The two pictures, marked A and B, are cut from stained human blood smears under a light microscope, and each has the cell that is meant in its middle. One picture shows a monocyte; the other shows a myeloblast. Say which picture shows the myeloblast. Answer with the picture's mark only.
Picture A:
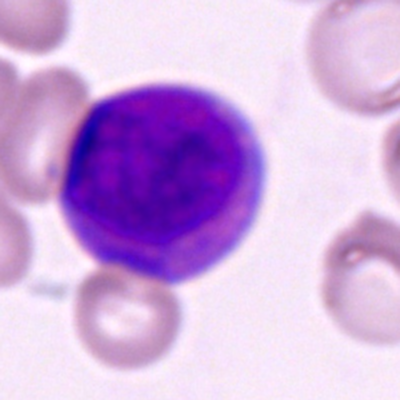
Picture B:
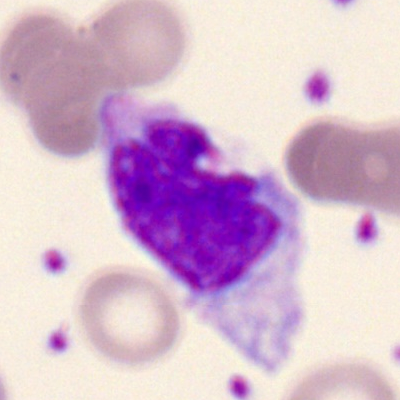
A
